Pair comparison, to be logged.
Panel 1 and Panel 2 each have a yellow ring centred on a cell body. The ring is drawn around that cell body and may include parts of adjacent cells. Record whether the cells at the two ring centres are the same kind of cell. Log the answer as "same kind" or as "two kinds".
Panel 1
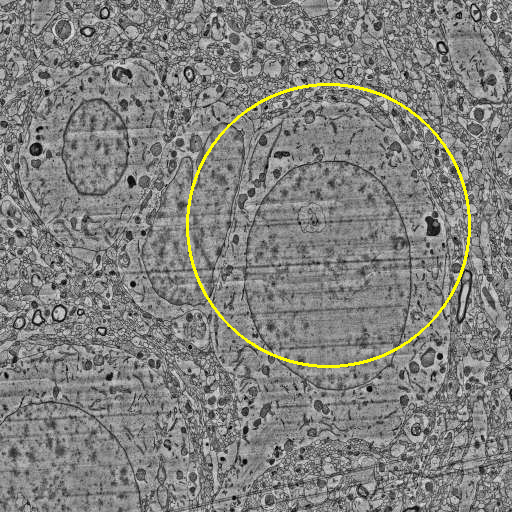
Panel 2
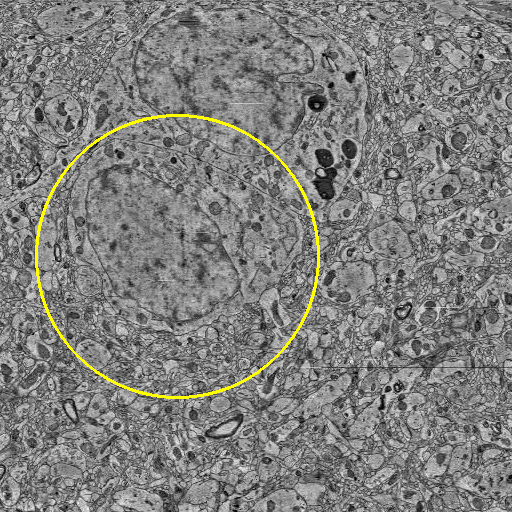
two kinds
